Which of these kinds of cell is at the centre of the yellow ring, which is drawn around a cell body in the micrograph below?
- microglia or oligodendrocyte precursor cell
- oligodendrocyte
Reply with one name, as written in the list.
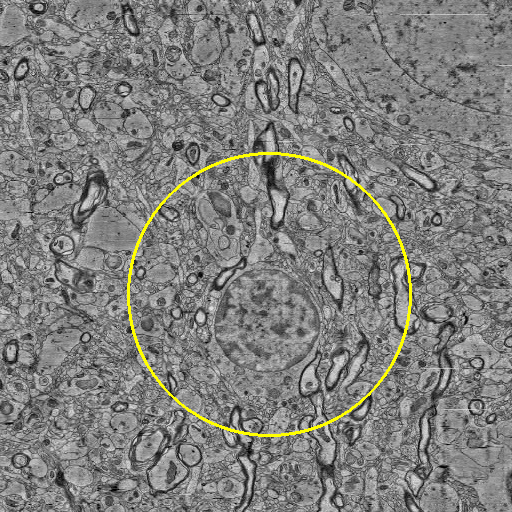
oligodendrocyte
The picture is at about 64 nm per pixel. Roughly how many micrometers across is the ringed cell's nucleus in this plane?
The nucleus comes to roughly 7 micrometres across in this plane.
